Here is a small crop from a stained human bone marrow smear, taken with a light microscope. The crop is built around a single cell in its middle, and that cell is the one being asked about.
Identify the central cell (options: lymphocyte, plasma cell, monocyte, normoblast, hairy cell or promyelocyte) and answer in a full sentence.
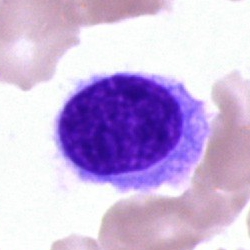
Framed in the middle of the crop is a hairy cell.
